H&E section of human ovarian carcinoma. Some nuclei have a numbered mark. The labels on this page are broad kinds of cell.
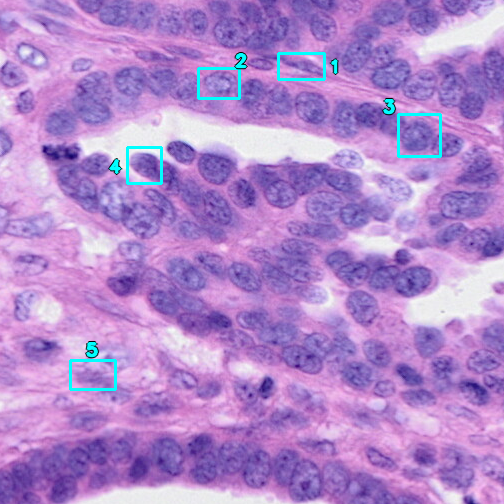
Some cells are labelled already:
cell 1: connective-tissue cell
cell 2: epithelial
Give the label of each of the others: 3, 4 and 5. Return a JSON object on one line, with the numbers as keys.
{"3": "epithelial", "4": "epithelial", "5": "connective-tissue cell"}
